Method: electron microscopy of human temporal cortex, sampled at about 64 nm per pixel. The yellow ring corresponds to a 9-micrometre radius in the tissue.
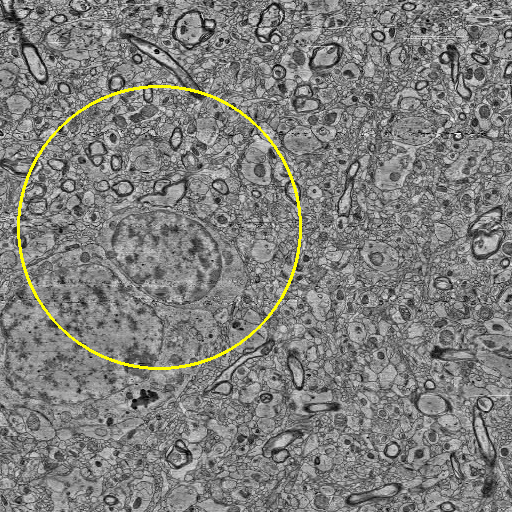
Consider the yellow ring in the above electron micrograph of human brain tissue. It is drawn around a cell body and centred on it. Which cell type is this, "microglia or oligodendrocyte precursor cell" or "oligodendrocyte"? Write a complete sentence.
The cell in question is an oligodendrocyte.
